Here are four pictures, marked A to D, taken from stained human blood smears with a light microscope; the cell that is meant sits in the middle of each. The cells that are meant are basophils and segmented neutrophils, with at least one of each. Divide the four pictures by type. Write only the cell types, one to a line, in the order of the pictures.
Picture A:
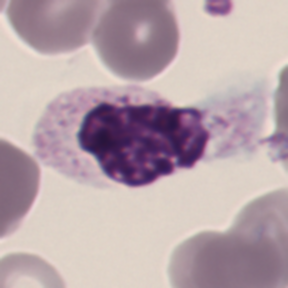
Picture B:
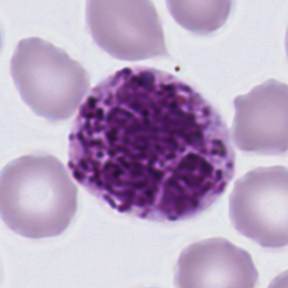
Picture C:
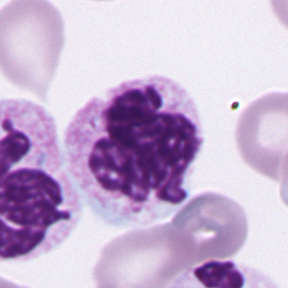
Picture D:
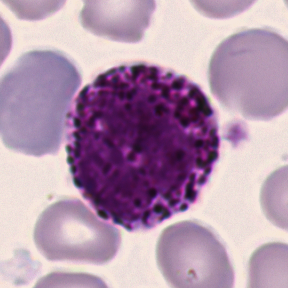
segmented neutrophil
basophil
segmented neutrophil
basophil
